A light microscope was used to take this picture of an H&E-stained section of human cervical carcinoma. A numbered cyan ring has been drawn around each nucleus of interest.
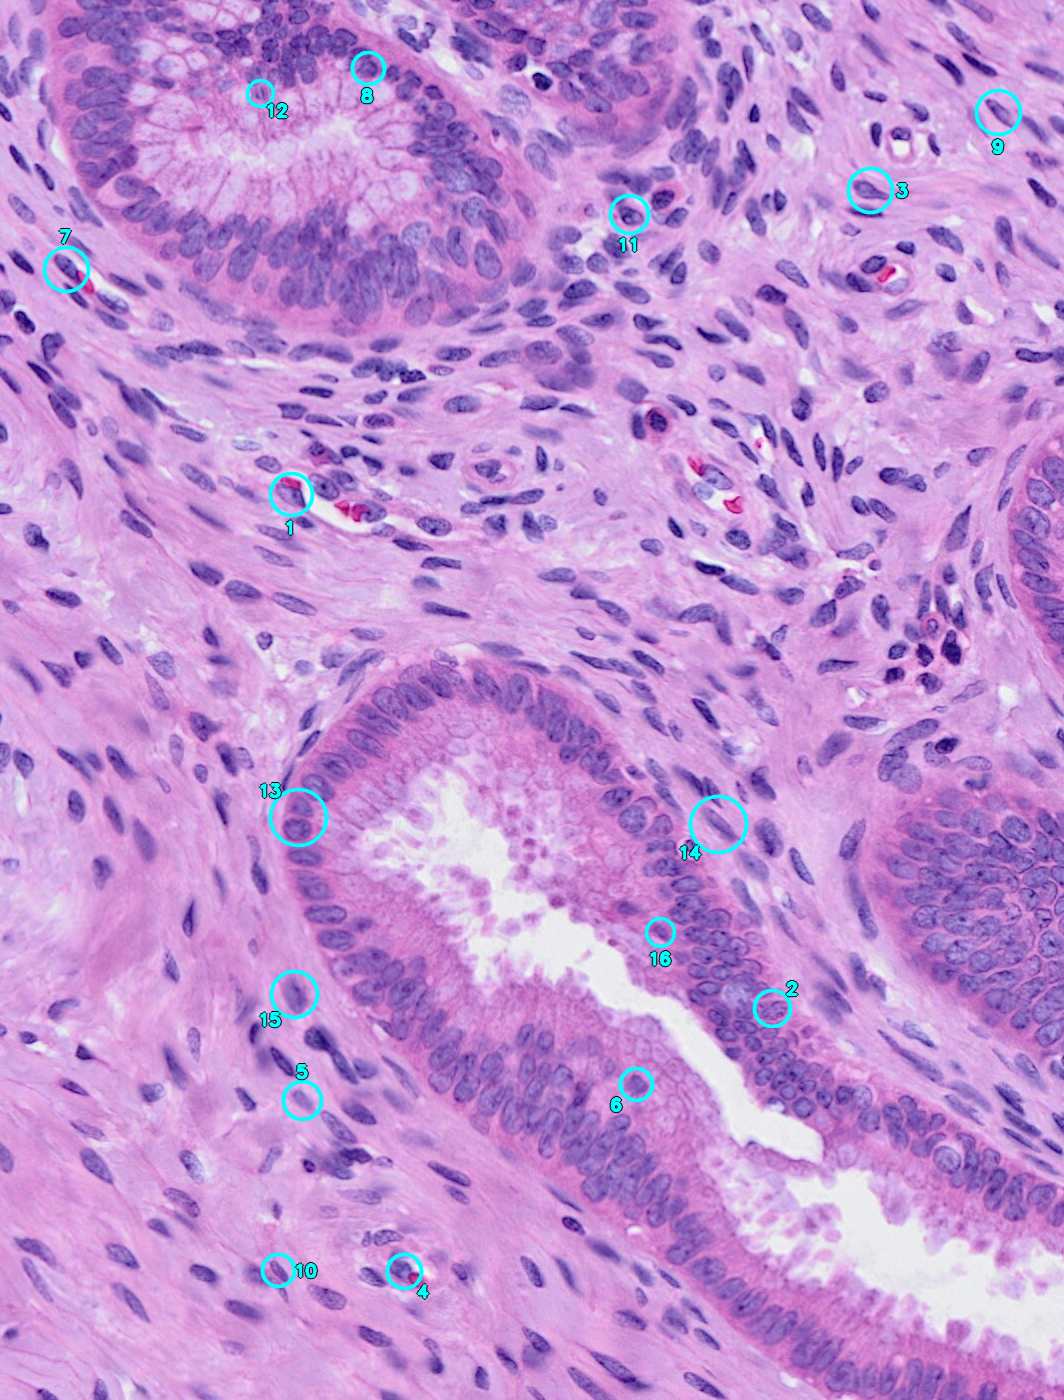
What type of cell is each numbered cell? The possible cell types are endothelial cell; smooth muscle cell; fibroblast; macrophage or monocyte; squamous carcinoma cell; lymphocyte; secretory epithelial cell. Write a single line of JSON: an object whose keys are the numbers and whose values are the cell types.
{"1": "endothelial cell", "2": "secretory epithelial cell", "3": "fibroblast", "4": "endothelial cell", "5": "fibroblast", "6": "secretory epithelial cell", "7": "endothelial cell", "8": "secretory epithelial cell", "9": "fibroblast", "10": "fibroblast", "11": "endothelial cell", "12": "secretory epithelial cell", "13": "secretory epithelial cell", "14": "fibroblast", "15": "fibroblast", "16": "secretory epithelial cell"}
